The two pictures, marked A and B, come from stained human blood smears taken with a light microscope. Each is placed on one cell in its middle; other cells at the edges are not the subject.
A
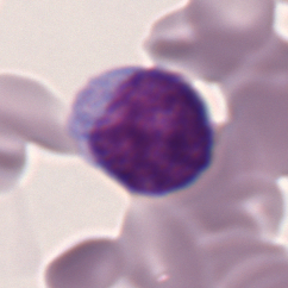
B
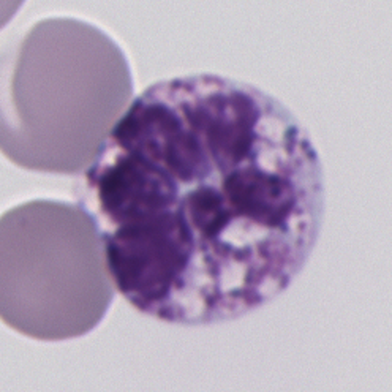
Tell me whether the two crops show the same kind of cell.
no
